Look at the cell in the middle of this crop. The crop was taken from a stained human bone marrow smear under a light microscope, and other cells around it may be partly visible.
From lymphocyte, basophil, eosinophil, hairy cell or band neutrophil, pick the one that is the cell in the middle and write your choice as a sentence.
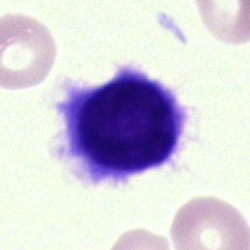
Seen at the centre of the crop is a hairy cell.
